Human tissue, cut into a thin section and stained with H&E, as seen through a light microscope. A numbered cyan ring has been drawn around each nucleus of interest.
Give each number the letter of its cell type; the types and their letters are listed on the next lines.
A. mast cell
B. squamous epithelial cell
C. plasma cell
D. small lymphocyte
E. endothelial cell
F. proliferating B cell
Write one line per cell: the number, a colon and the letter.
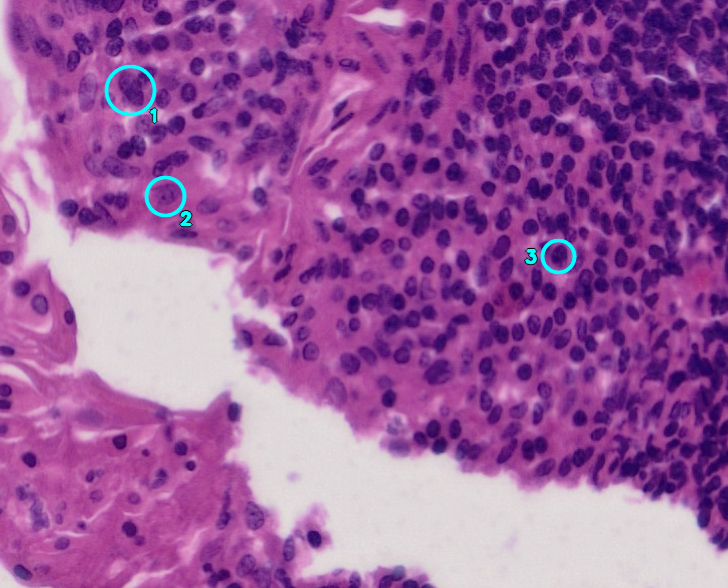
1: B
2: B
3: C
